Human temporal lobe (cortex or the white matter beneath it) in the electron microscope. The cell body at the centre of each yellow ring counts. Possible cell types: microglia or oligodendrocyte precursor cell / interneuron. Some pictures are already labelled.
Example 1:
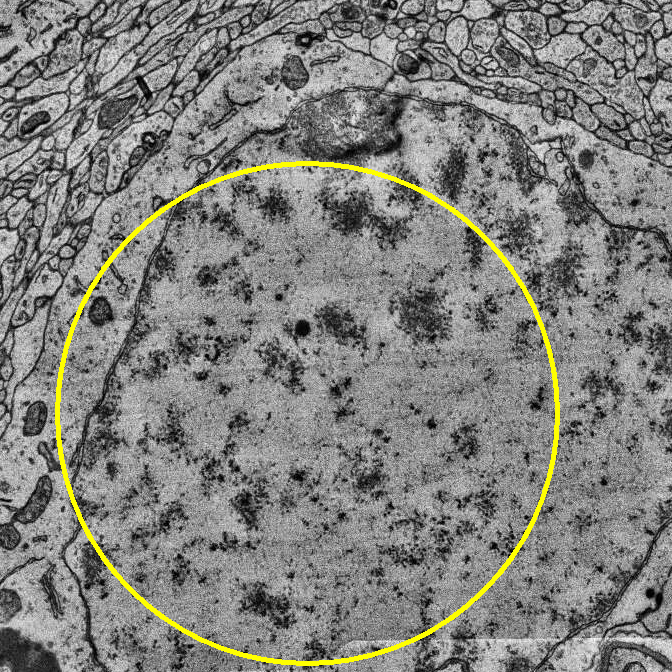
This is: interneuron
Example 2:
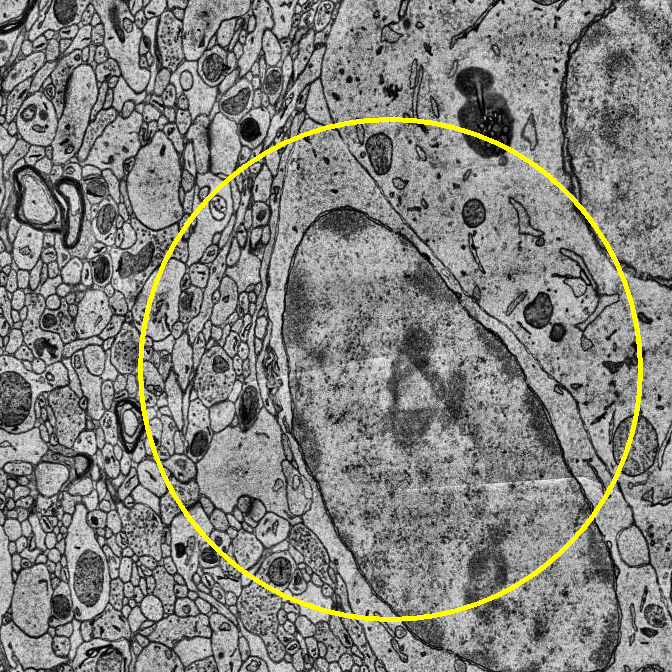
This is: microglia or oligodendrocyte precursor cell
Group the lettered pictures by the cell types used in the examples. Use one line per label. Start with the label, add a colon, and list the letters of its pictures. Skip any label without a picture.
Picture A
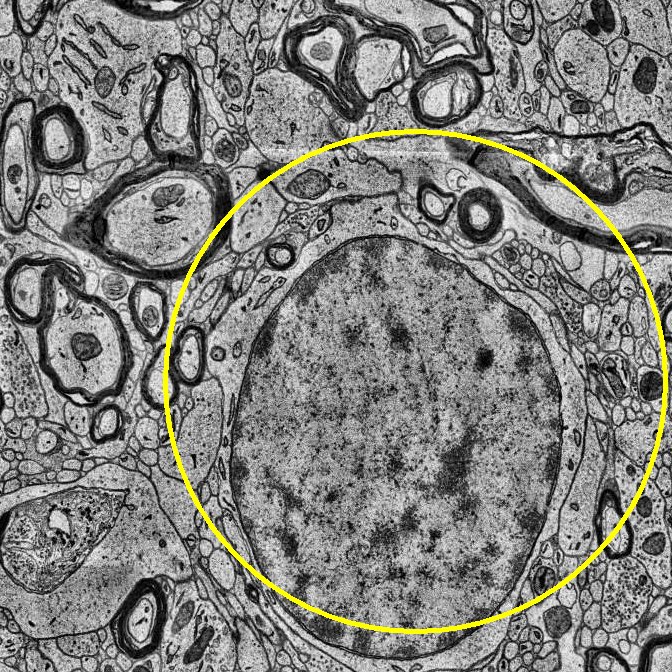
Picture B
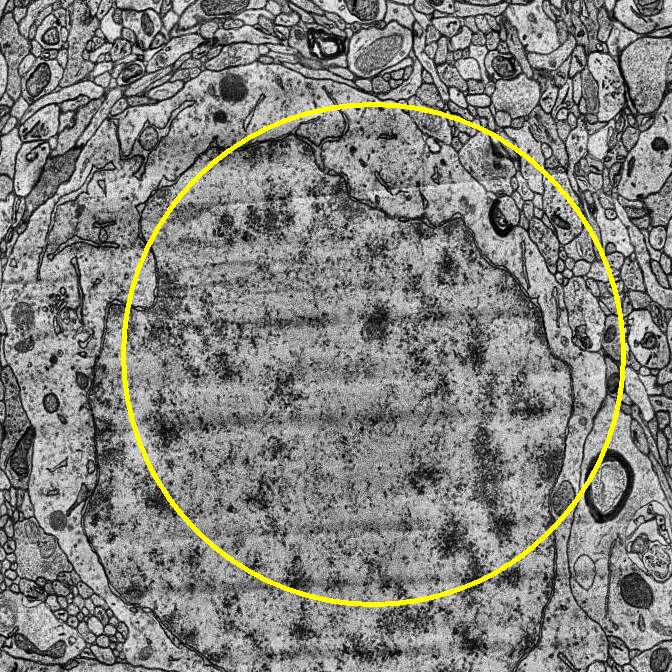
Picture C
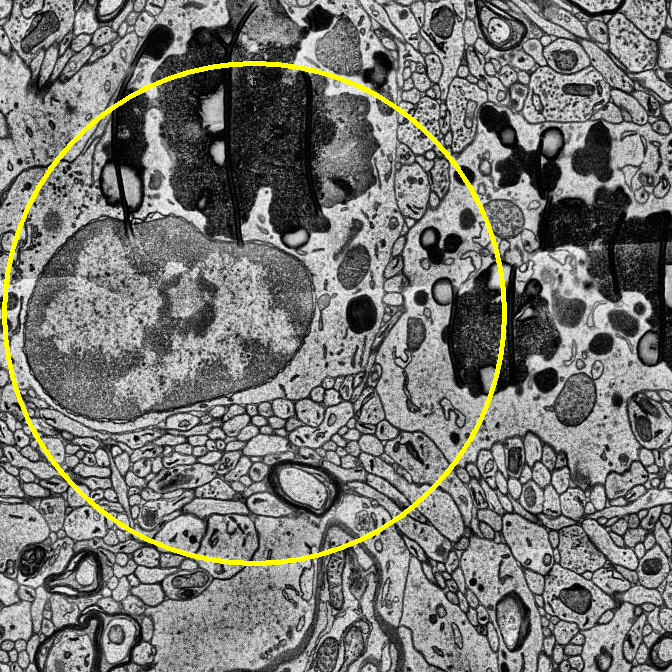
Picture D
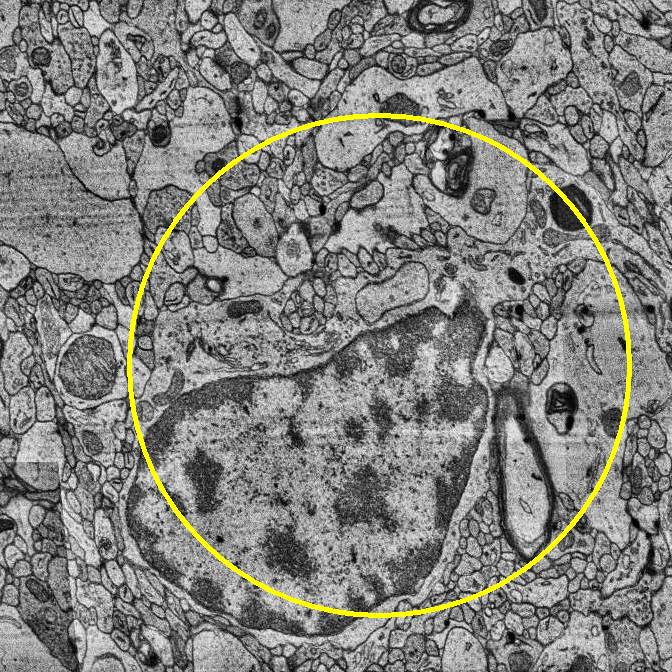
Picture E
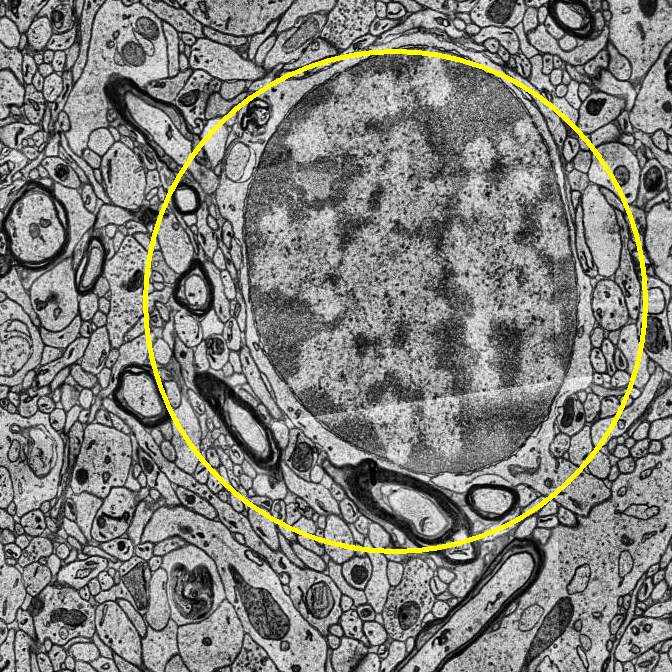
microglia or oligodendrocyte precursor cell: A, C, D, E
interneuron: B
